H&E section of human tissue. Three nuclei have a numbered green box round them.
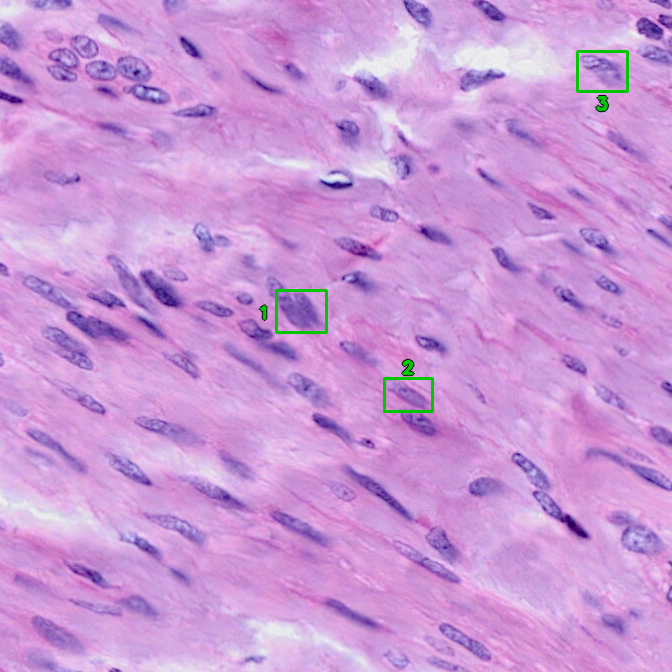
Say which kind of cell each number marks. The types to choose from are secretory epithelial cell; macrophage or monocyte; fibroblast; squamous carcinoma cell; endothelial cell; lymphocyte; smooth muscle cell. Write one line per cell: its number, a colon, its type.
1: fibroblast
2: smooth muscle cell
3: fibroblast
